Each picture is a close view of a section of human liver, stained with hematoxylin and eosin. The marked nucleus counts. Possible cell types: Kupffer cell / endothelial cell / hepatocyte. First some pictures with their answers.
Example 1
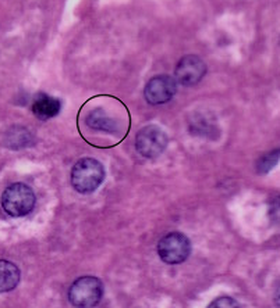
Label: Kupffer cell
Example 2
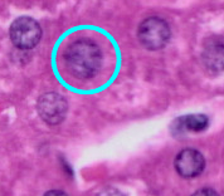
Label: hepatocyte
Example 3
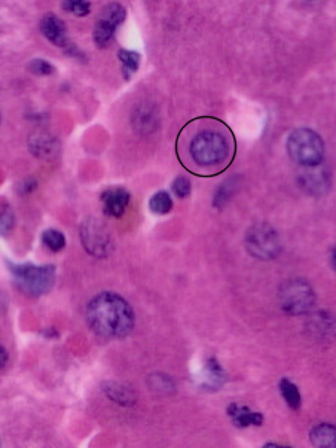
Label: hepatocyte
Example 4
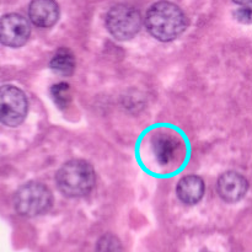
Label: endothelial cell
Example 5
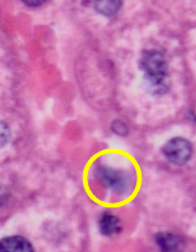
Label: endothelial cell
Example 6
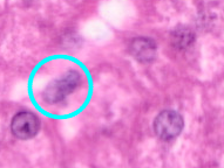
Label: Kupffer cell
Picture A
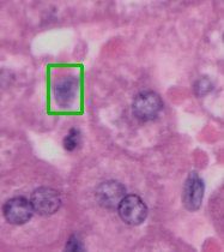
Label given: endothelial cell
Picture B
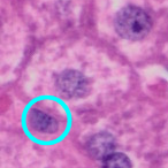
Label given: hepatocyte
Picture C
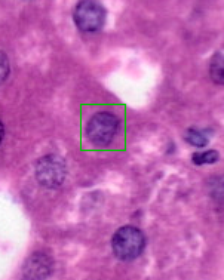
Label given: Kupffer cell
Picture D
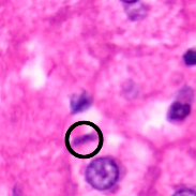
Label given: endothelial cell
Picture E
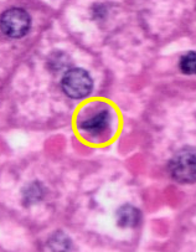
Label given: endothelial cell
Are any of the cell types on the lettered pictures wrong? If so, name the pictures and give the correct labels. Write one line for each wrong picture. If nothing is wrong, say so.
B should be endothelial cell, not hepatocyte
C should be hepatocyte, not Kupffer cell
